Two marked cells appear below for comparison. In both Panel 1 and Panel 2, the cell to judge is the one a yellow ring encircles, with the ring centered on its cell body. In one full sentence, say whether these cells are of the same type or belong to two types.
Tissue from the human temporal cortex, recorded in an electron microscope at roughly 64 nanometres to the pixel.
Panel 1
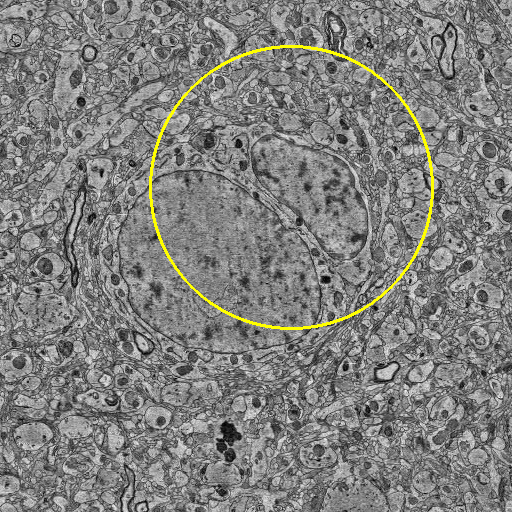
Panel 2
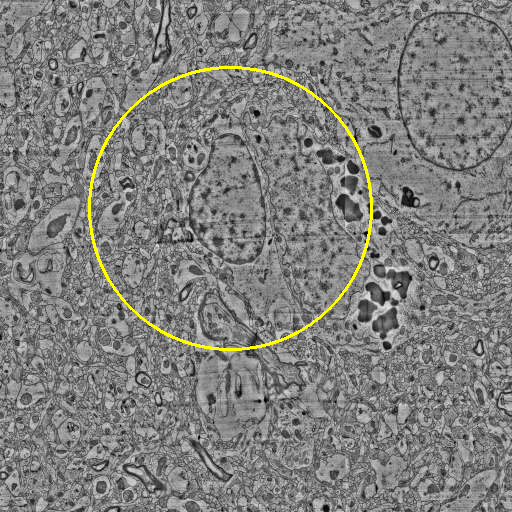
The cell centered in the Panel 1 ring and the one in Panel 2 are of the same type.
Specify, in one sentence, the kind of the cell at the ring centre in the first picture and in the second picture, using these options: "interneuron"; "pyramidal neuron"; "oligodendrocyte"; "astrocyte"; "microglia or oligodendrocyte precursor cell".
The second cell is a microglial cell or oligodendrocyte precursor cell, just as the first is.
